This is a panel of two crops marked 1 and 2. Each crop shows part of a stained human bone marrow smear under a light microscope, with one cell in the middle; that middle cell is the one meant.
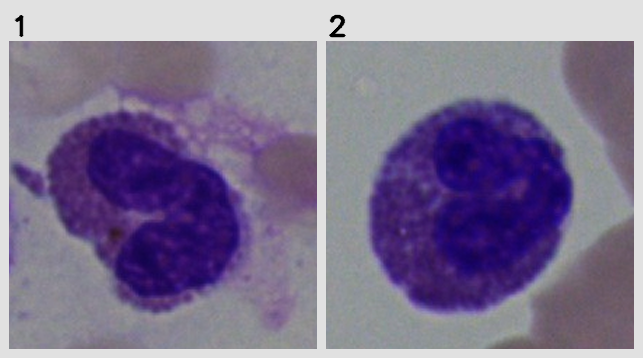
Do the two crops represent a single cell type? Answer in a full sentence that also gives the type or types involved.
Yes, the two crops show eosinophils, both of them.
